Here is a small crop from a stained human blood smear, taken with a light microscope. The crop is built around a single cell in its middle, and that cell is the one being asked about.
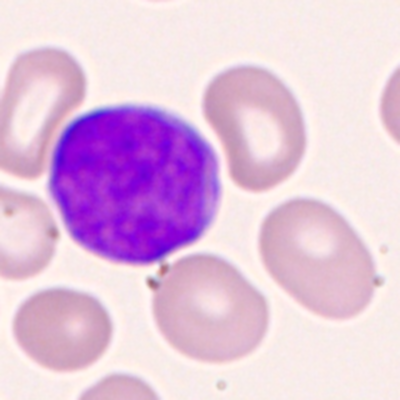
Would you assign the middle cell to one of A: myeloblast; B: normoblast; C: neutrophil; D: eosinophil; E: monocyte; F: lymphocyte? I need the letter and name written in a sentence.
The central cell in this crop is a myeloblast, so the correct choice is option A.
